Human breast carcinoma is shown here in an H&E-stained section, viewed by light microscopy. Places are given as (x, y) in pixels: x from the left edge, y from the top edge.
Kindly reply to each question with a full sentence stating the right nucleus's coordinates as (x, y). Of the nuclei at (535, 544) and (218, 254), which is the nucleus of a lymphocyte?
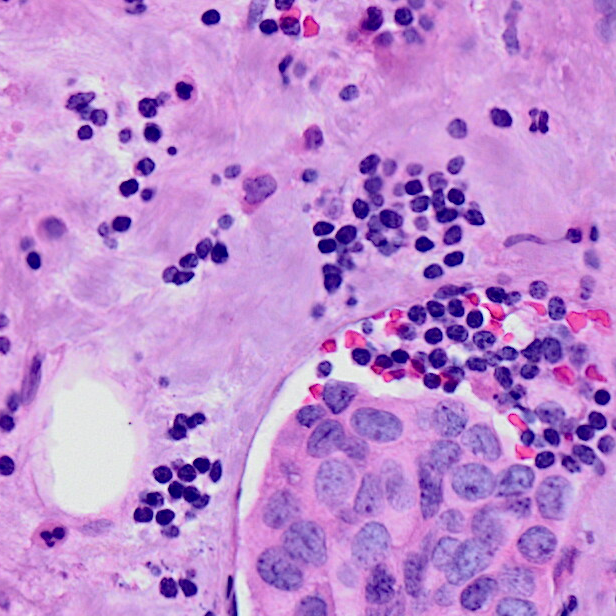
The pair contains one nucleus of a lymphocyte, namely the one at (218, 254).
